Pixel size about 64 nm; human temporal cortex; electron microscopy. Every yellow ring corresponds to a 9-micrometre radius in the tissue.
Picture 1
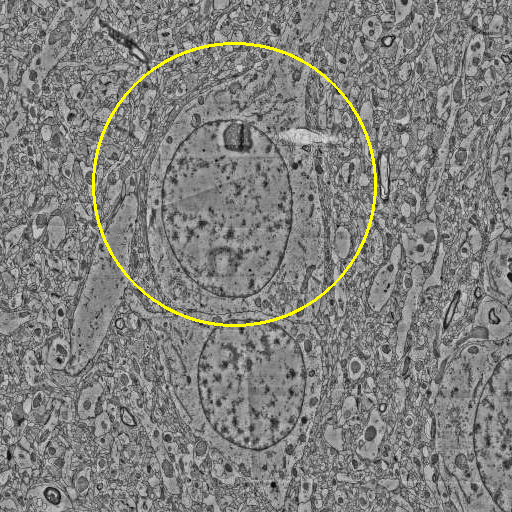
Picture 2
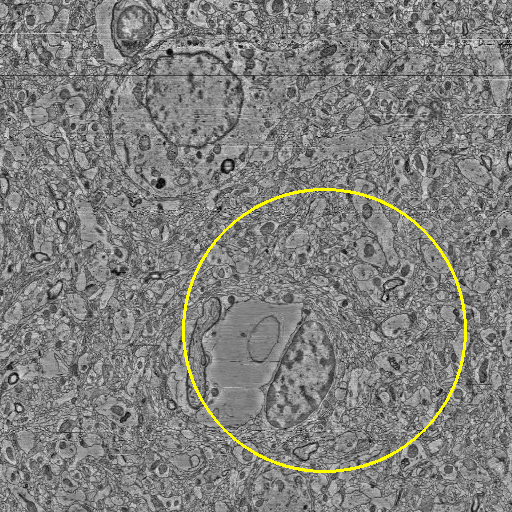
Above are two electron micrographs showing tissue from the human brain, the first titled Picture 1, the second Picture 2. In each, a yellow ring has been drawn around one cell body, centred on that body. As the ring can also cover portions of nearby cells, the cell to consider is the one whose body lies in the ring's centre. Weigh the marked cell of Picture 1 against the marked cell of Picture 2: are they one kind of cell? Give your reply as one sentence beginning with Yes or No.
No, the two cells sitting at the ring centres in the pictures are of two kinds.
